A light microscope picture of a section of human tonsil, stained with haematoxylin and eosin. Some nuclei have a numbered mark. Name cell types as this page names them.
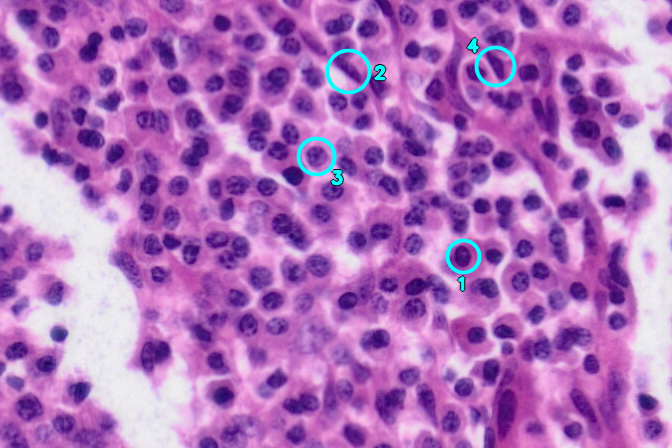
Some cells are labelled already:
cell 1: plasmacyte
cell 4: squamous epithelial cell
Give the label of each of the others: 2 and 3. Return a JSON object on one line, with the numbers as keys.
{"2": "squamous epithelial cell", "3": "plasmacyte"}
